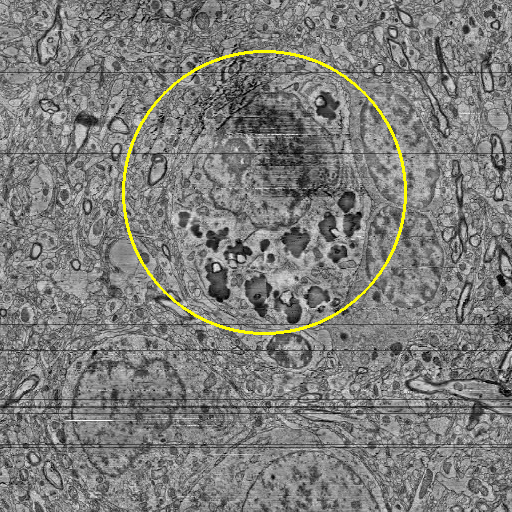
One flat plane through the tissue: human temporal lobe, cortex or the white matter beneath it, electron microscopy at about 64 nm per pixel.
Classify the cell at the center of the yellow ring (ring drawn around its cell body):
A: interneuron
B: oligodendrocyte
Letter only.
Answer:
A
